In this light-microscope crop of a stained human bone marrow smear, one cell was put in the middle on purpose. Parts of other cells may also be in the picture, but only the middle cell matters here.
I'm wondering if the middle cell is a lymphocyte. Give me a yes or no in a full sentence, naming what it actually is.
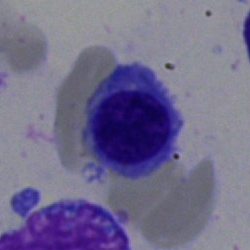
No, the middle cell is actually an erythroblast rather than a lymphocyte.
